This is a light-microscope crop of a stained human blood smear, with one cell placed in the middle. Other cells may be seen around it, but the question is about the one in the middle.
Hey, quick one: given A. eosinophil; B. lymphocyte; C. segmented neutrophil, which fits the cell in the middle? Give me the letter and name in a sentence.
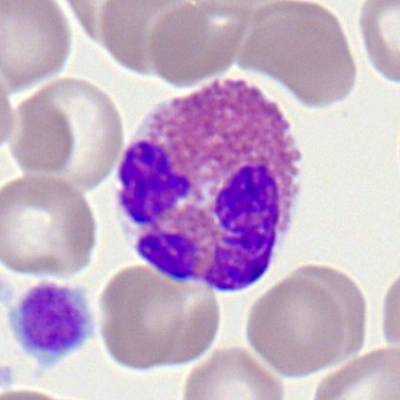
The cell placed in the middle is an eosinophil; option A is correct.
